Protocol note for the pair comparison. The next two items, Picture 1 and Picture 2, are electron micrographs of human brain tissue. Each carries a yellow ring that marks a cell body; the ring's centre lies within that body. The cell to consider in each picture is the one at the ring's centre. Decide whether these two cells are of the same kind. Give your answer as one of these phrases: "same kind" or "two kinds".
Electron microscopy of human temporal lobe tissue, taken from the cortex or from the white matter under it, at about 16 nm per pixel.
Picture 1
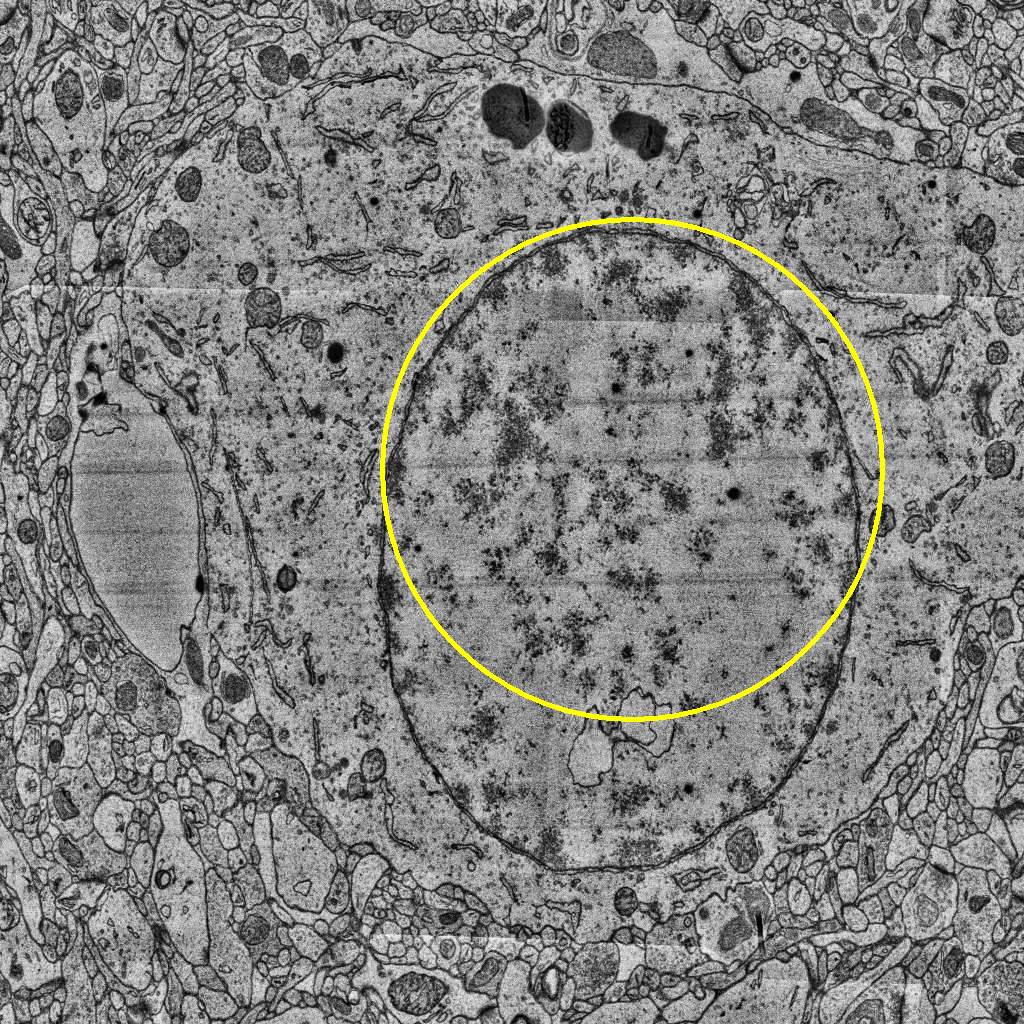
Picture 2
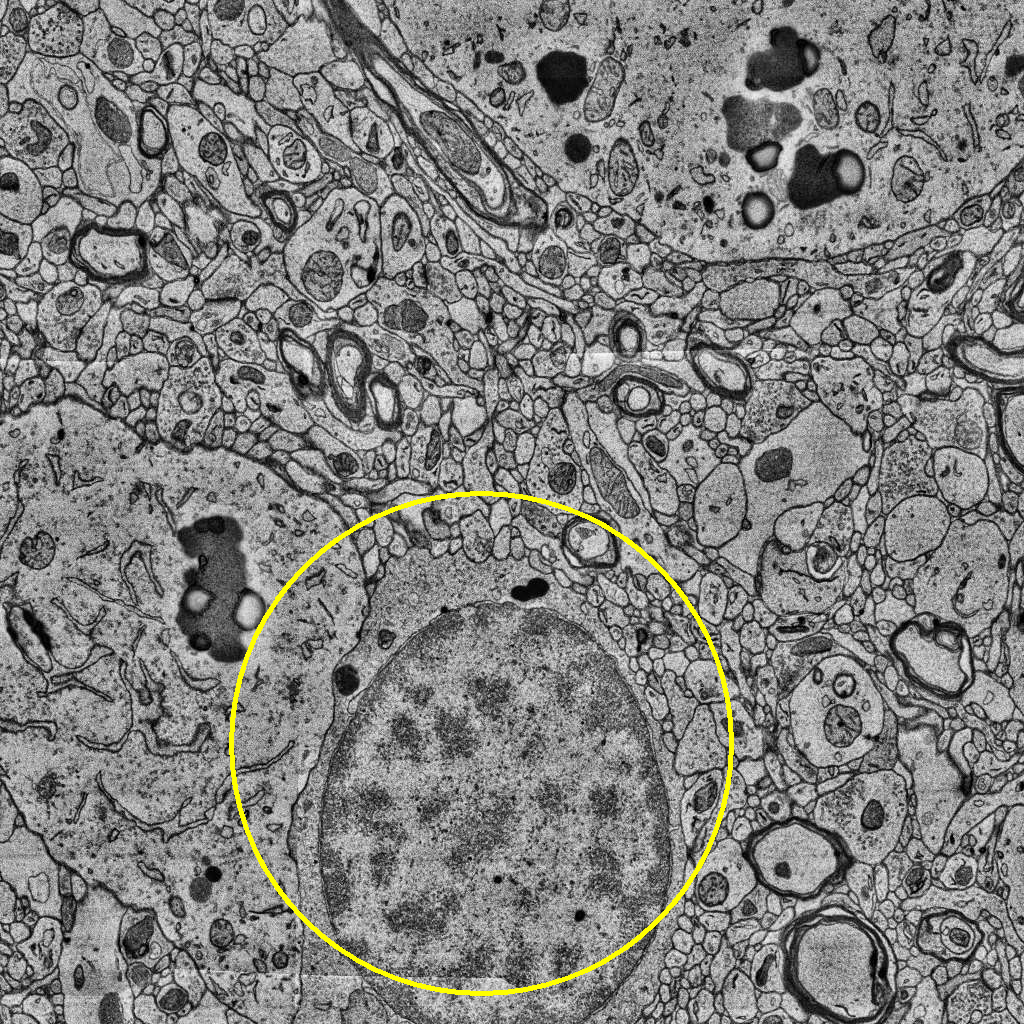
two kinds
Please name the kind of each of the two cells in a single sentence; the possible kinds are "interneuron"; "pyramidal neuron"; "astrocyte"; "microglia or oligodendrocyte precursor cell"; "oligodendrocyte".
The second cell is an oligodendrocyte, while the first is a pyramidal neuron.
